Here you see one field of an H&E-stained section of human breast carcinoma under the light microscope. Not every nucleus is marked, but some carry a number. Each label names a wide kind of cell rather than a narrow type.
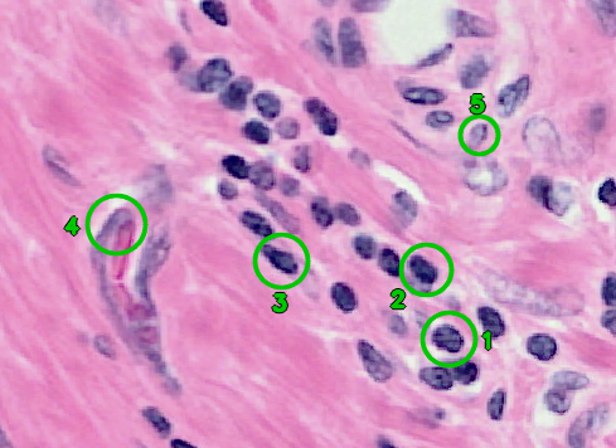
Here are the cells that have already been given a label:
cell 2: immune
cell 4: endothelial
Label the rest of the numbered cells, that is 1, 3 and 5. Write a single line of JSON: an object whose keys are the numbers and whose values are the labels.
{"1": "immune", "3": "immune", "5": "endothelial"}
